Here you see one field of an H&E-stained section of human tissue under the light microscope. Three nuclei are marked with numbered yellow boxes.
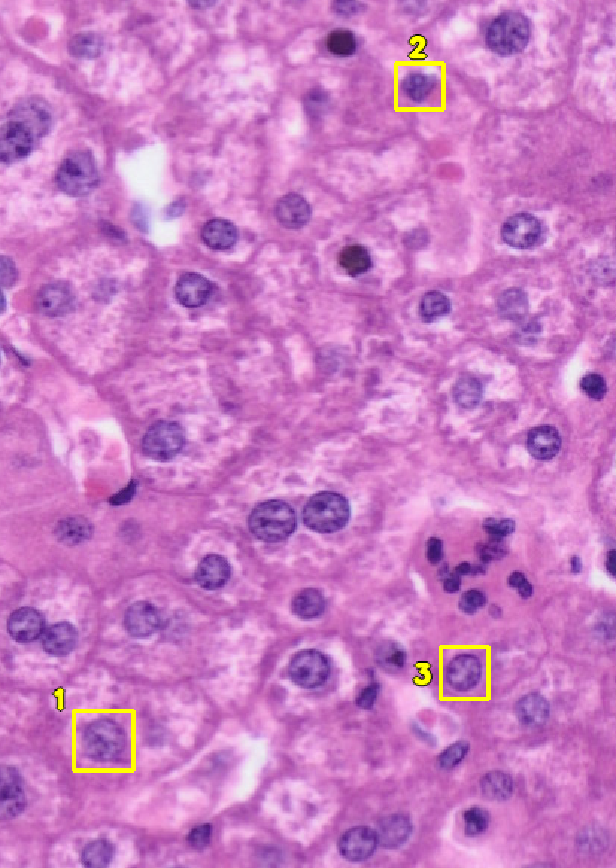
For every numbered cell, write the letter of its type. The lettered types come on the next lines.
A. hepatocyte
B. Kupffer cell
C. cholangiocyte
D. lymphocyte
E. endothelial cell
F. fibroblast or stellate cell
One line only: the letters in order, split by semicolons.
A; E; A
